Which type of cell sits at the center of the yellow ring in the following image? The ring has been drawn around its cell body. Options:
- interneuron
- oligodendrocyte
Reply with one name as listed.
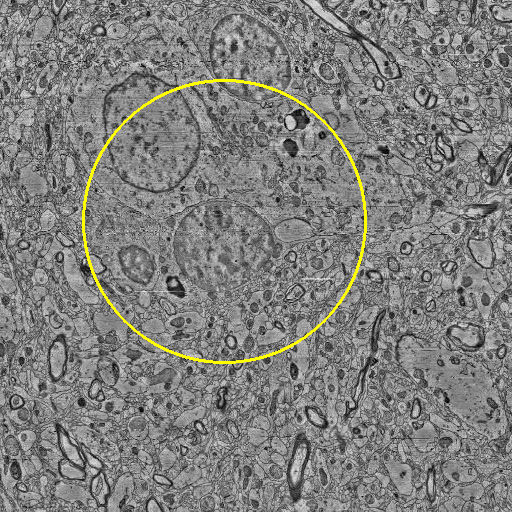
oligodendrocyte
